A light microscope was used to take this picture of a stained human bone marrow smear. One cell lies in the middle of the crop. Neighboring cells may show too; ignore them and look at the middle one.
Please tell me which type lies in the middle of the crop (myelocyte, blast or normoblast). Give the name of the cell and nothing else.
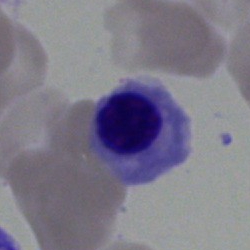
normoblast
